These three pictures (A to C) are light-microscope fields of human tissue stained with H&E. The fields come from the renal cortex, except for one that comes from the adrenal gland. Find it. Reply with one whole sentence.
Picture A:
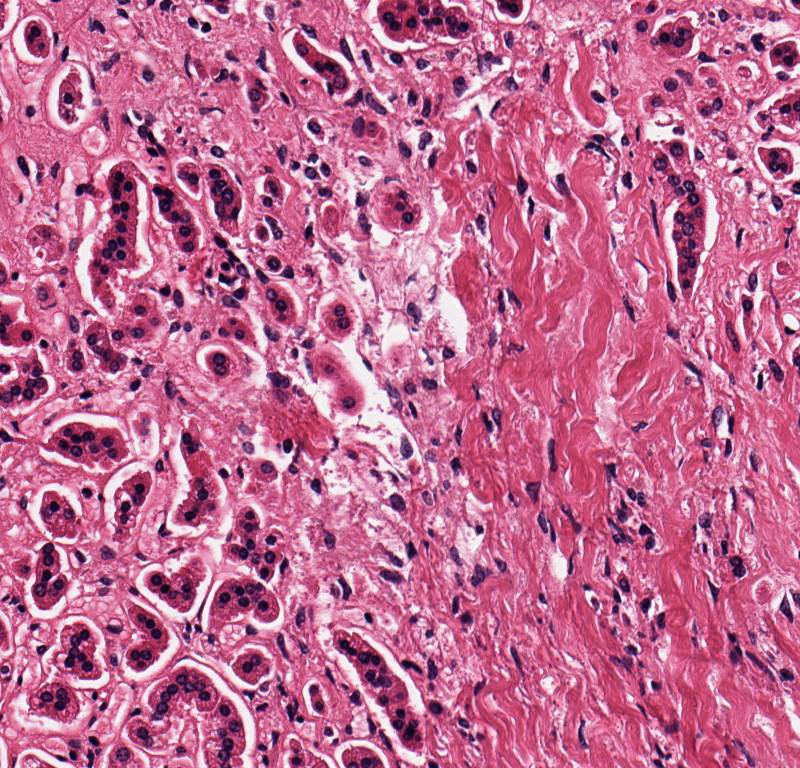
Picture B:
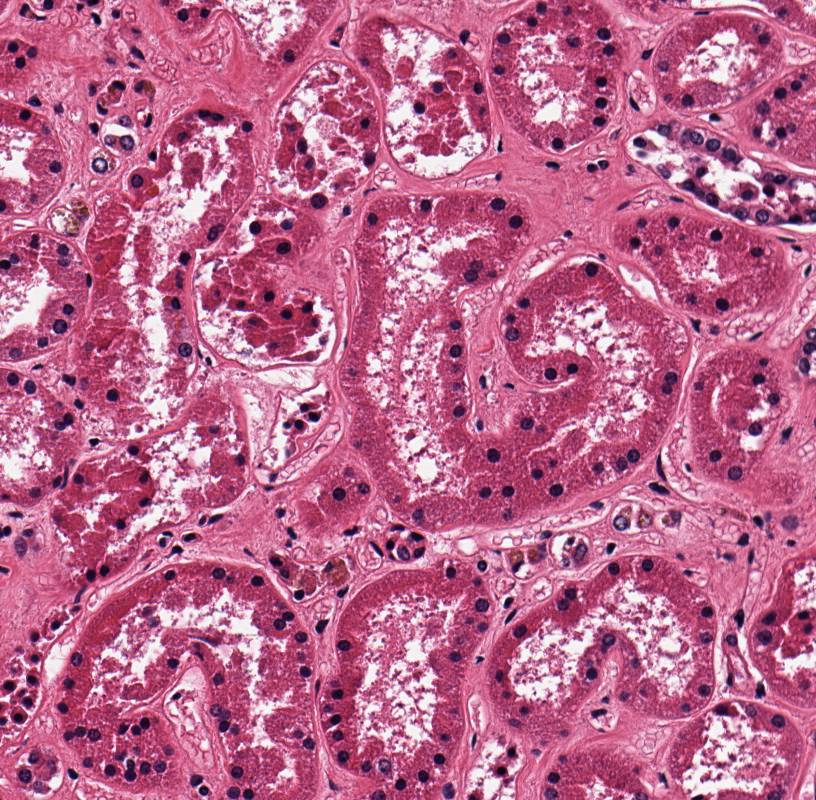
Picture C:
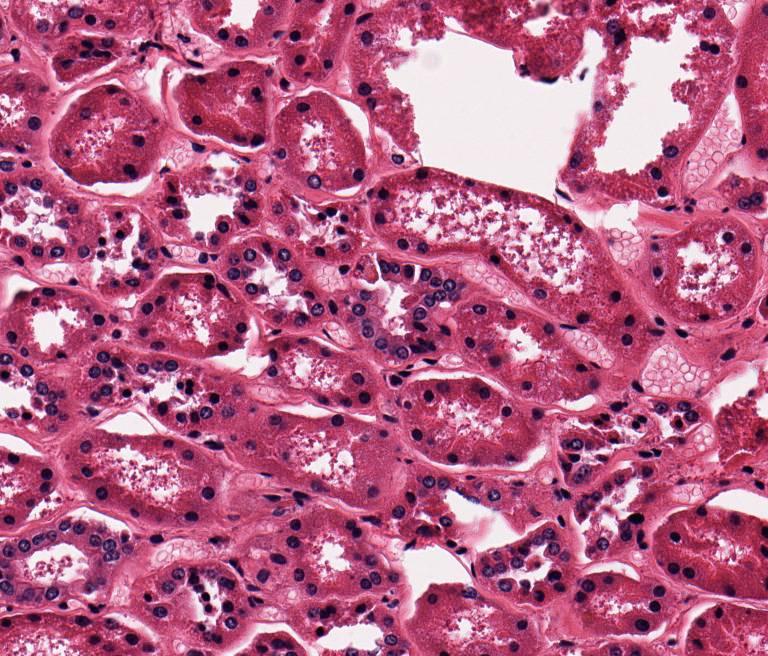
The one that comes from the adrenal gland is picture A.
